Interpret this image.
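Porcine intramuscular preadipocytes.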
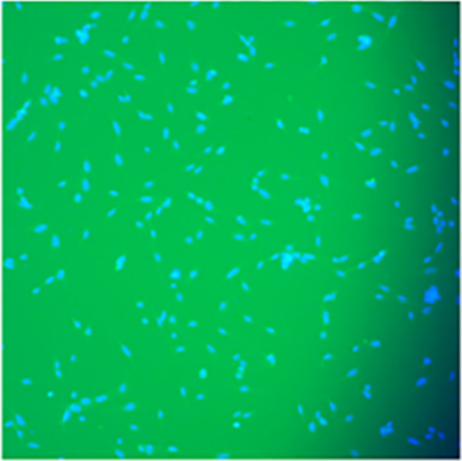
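Small oval nuclei, looking light blue where they overlap the green, are spread fairly evenly over the field. A few lie close together in small clusters.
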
